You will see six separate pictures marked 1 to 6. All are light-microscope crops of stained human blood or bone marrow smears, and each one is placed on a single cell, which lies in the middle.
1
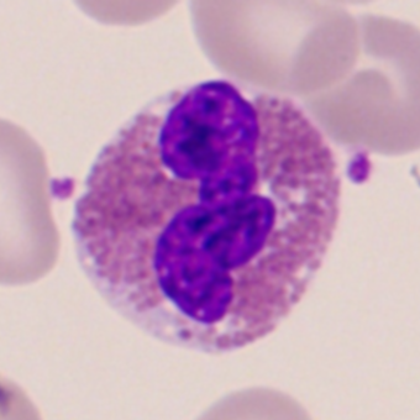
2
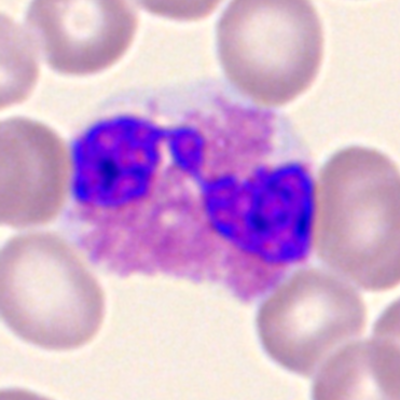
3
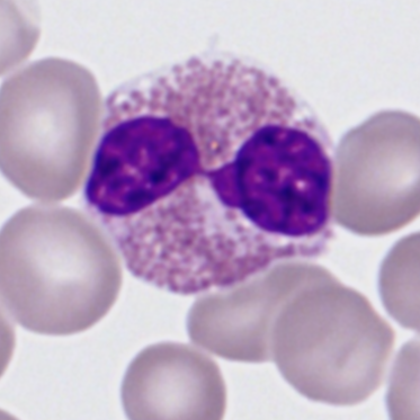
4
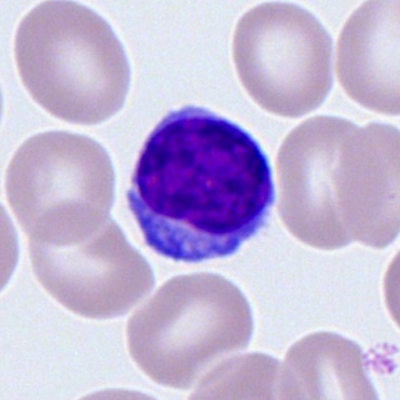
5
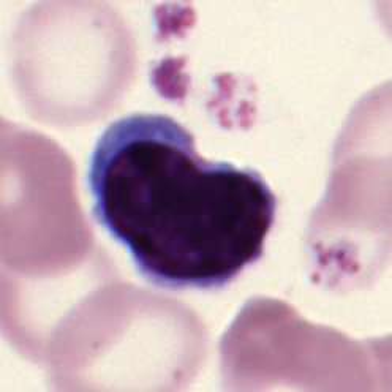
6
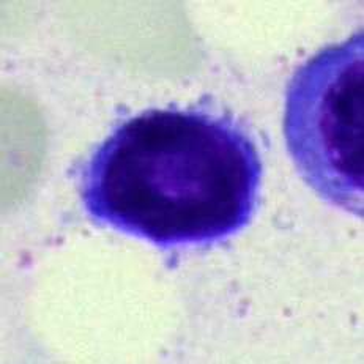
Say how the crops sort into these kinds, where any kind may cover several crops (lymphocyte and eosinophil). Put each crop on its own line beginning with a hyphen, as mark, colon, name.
- 1: eosinophil
- 2: eosinophil
- 3: eosinophil
- 4: lymphocyte
- 5: lymphocyte
- 6: lymphocyte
